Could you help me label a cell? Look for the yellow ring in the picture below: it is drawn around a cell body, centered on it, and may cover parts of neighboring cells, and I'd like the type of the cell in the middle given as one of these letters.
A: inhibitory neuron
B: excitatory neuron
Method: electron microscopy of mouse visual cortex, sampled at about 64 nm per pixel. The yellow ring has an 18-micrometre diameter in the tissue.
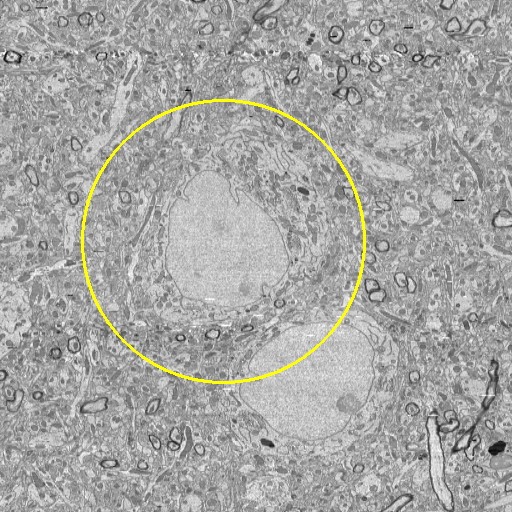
A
